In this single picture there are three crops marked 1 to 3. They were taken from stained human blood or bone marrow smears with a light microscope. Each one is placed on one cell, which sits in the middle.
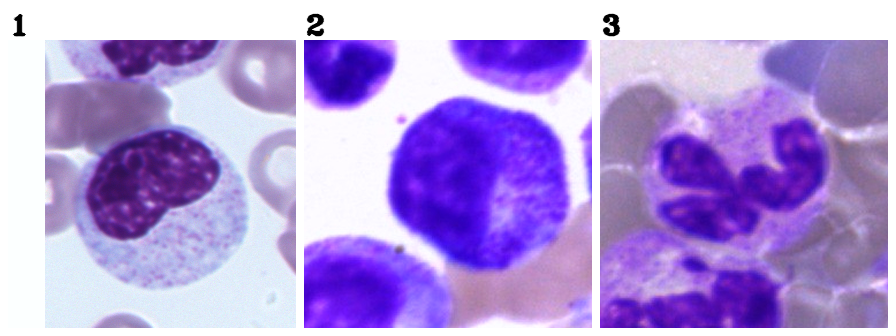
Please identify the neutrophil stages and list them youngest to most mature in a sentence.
Ranked from the least mature cell to the most mature, they are crop 2 (a promyelocyte), crop 1 (a metamyelocyte) and crop 3 (a segmented neutrophil).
